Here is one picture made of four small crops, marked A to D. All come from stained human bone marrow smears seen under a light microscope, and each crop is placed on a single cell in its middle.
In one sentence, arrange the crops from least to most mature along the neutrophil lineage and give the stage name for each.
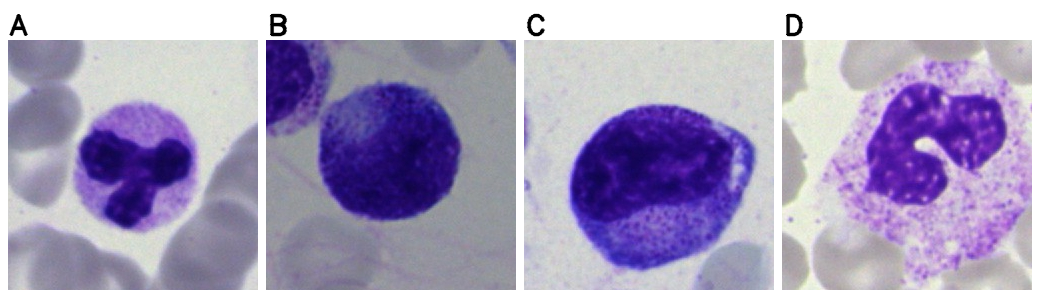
The maturity ranking, lowest to highest, is crop B (a promyelocyte), crop C (a myelocyte), crop D (a band neutrophil) and crop A (a segmented neutrophil).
